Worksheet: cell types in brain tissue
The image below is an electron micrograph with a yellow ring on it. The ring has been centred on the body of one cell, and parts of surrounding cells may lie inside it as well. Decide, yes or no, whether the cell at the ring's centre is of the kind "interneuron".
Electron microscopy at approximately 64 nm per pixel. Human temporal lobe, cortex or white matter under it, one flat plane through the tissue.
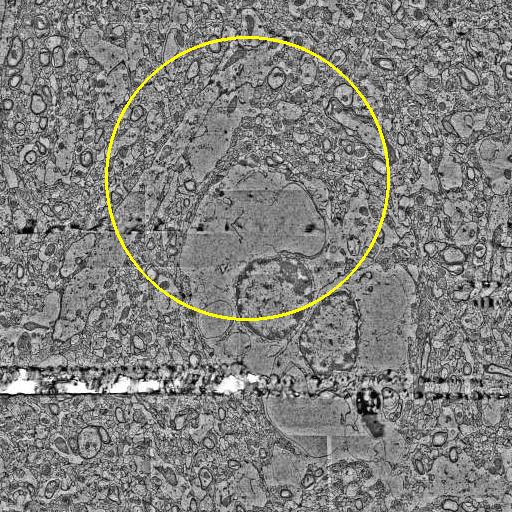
no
